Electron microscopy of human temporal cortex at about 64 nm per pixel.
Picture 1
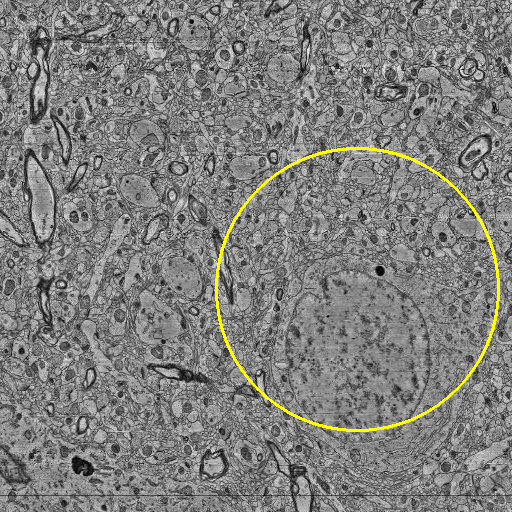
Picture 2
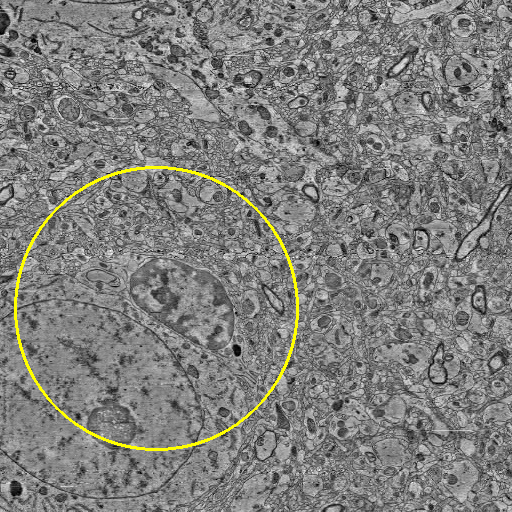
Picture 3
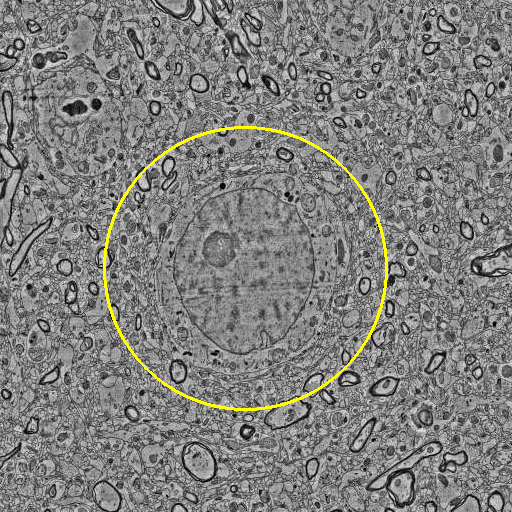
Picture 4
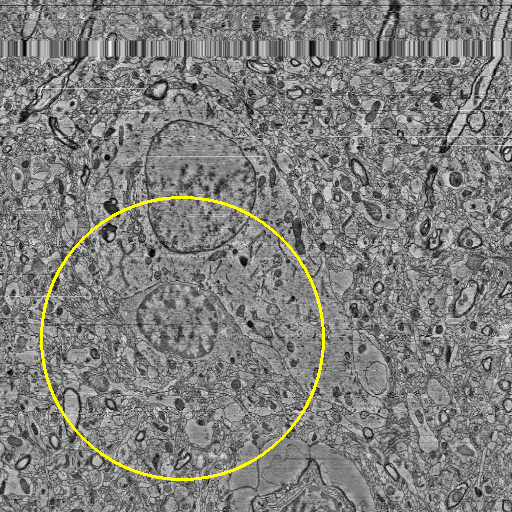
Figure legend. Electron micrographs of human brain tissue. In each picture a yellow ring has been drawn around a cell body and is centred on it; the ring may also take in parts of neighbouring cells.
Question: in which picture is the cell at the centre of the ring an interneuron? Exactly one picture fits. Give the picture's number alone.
1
